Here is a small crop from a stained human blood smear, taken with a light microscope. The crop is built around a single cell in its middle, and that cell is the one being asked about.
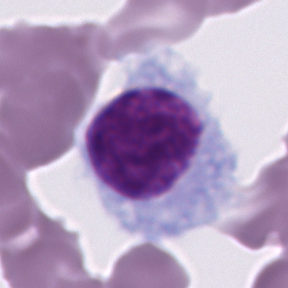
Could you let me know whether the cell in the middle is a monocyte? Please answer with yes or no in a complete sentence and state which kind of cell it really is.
No, the cell in the middle is a hairy cell, not a monocyte.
